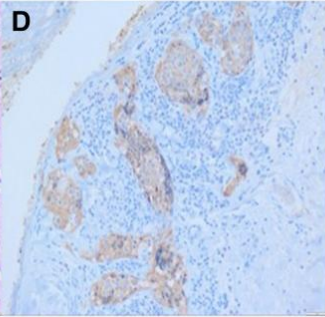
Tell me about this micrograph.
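This section shows nests of tumour cells set in a connective tissue stroma. The nests stand out as rounded and elongated islands whose cells take up a brown stain throughout their cytoplasm, with pale blue nuclei seen within them. Around the nests the stroma is stained only blue by the counterstain, and is packed with many small, dark blue nuclei. The brown islands vary in size and shape, some round, some drawn out in a line, and they are sharply set off from the surrounding unstained tissue. At the edge, a thin band of paler fibrous tissue is seen.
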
